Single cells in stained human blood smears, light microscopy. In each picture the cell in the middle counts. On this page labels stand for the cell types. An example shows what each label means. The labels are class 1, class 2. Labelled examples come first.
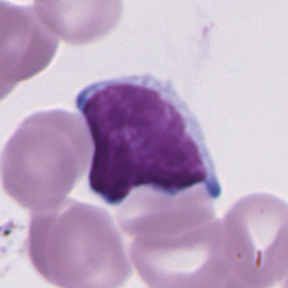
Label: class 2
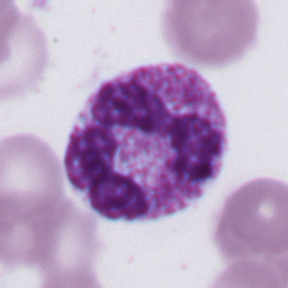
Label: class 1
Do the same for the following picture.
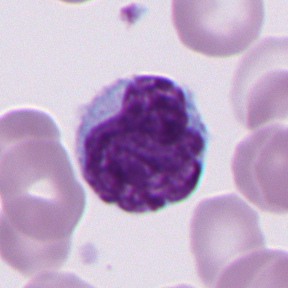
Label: class 2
